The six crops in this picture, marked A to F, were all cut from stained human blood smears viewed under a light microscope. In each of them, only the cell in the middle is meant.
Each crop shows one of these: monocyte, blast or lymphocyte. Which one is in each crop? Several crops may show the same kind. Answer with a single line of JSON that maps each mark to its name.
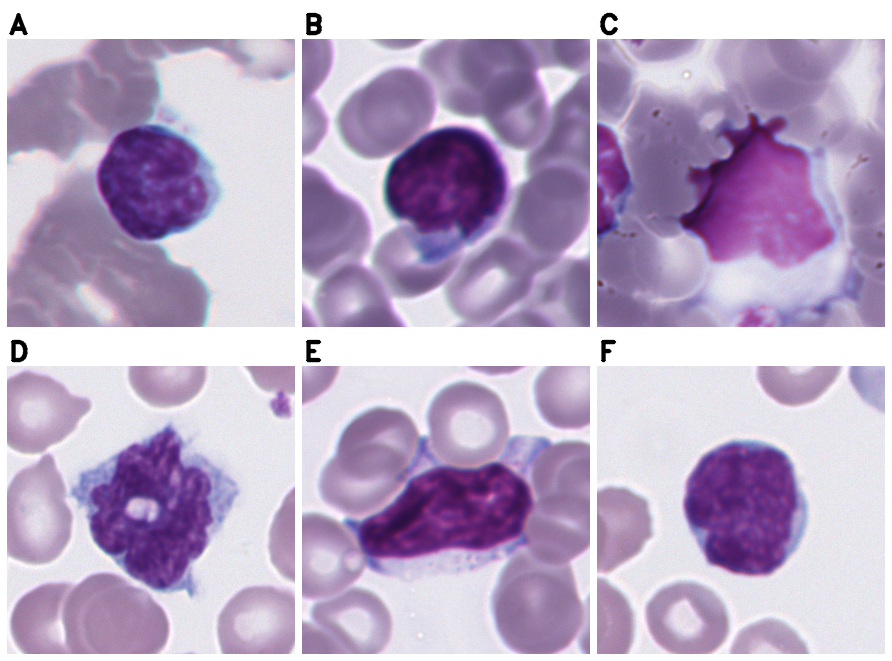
{"A": "lymphocyte", "B": "lymphocyte", "C": "lymphocyte", "D": "monocyte", "E": "lymphocyte", "F": "blast"}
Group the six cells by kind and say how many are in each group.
lymphocyte: 4
monocyte: 1
blast: 1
